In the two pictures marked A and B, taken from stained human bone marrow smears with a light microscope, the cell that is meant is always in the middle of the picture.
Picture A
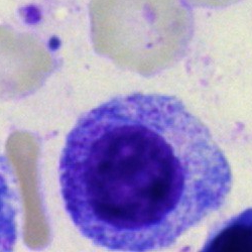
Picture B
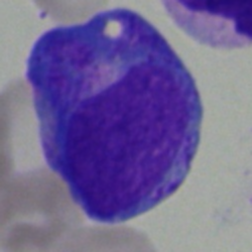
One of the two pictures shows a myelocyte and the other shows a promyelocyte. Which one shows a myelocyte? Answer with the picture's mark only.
A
